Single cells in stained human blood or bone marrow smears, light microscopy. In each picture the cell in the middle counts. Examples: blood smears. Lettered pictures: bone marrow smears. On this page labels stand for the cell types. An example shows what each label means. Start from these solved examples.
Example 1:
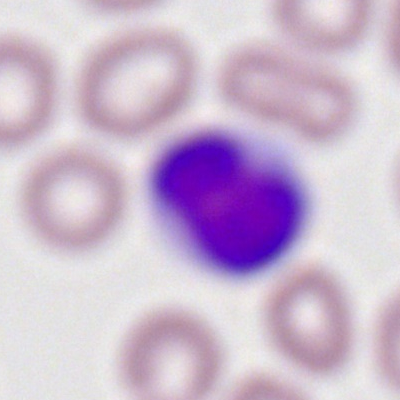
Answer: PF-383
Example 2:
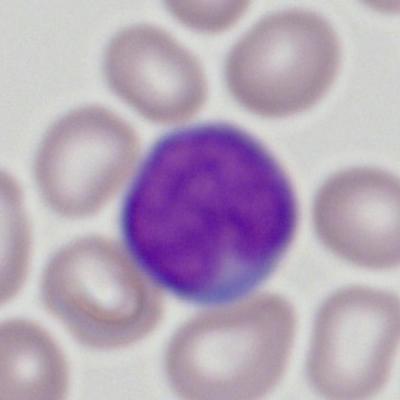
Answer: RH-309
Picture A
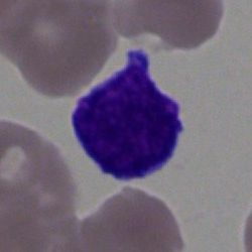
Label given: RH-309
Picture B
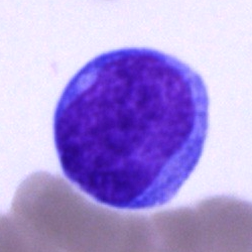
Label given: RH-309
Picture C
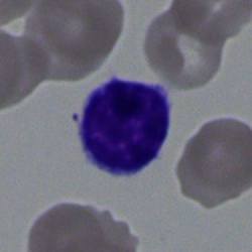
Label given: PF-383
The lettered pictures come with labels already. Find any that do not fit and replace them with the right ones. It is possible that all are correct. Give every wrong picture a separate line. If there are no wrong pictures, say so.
Every label is right.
